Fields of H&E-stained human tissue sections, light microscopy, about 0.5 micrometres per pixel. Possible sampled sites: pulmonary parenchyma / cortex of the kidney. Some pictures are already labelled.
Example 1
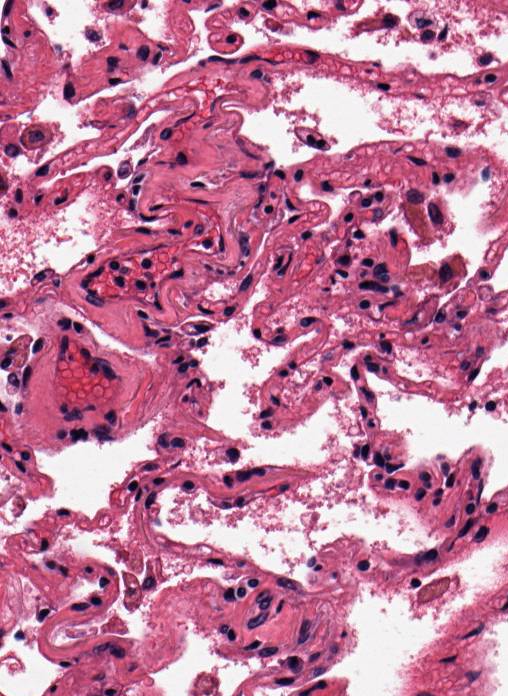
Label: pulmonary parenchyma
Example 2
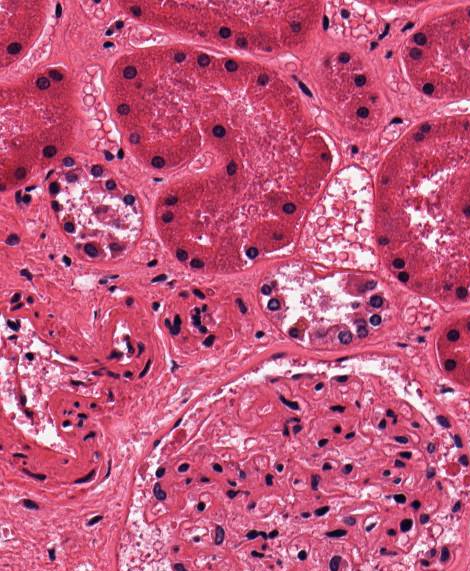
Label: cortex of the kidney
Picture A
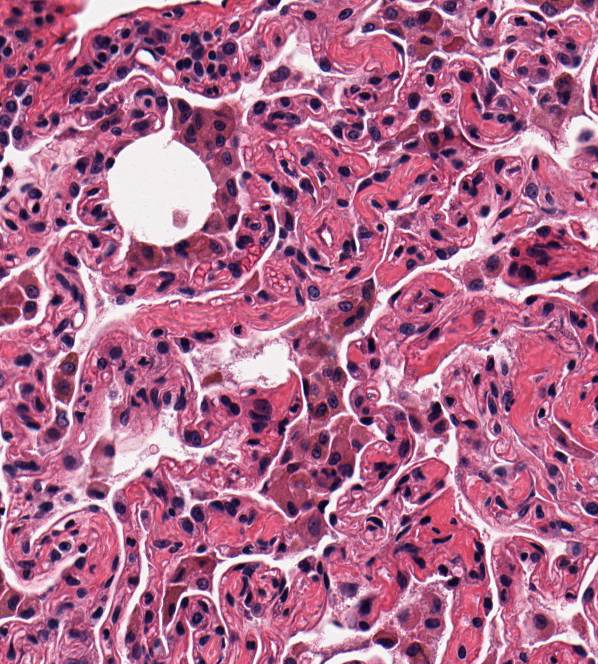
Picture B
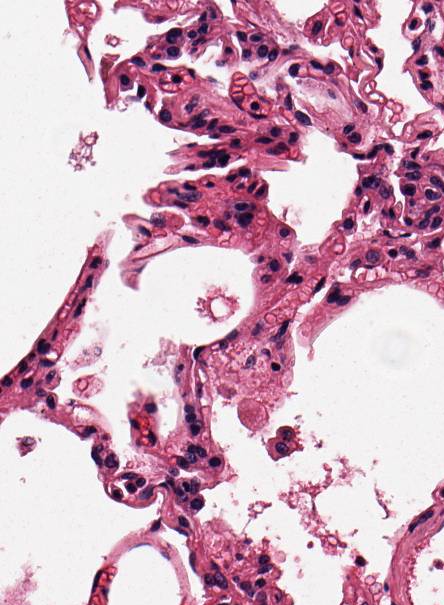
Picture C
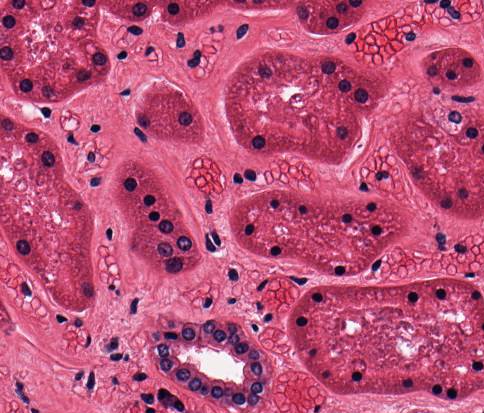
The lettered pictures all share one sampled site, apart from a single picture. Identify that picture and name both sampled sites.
C (cortex of the kidney) is the exception; every other picture is pulmonary parenchyma.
